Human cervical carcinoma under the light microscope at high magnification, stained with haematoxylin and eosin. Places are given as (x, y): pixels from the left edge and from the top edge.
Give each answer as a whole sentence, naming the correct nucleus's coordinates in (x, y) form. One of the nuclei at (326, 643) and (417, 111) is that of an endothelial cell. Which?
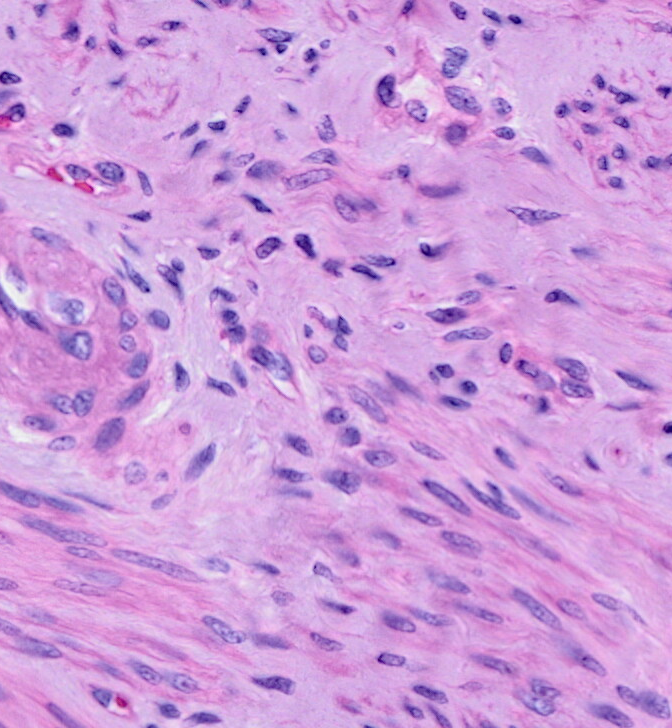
Of these two nuclei, only the one at (417, 111) belongs to an endothelial cell.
